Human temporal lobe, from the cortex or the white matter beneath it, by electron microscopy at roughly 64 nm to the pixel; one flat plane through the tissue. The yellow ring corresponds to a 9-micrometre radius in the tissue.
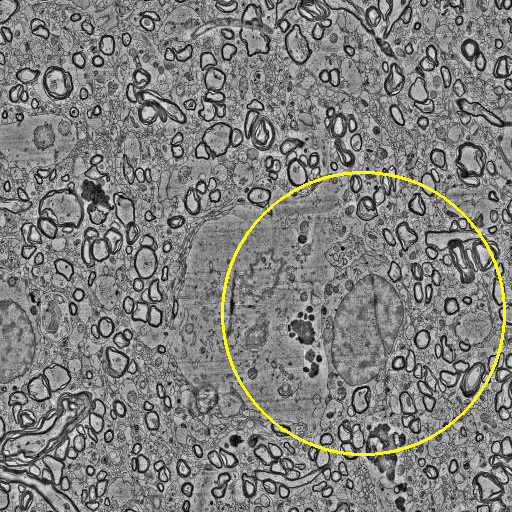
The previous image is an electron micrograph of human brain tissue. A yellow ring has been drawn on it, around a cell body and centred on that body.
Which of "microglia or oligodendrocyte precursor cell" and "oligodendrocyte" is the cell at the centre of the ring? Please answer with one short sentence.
The cell body at the centre of the ring belongs to an oligodendrocyte.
